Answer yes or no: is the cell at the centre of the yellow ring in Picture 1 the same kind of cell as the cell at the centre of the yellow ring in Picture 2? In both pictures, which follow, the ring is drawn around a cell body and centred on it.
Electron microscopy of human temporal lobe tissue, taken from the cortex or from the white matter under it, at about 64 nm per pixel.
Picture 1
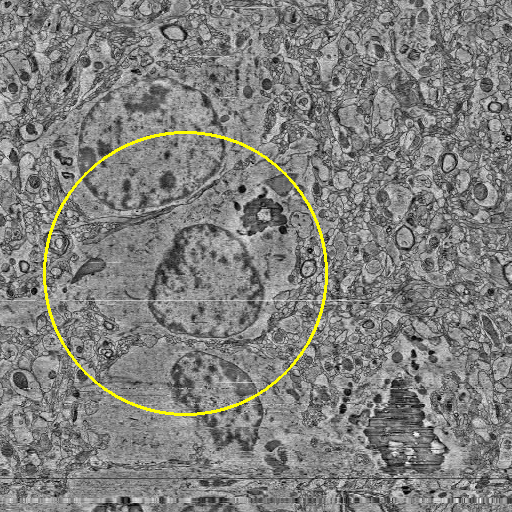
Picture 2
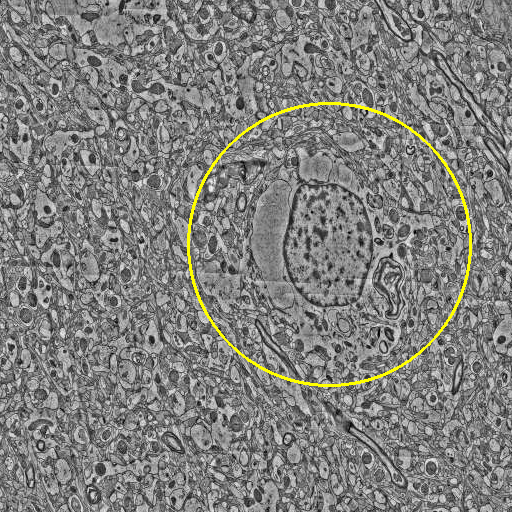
yes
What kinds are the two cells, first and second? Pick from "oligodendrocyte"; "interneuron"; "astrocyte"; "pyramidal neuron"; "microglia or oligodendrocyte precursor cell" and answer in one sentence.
Both cells are the same kind, each one being an astrocyte.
